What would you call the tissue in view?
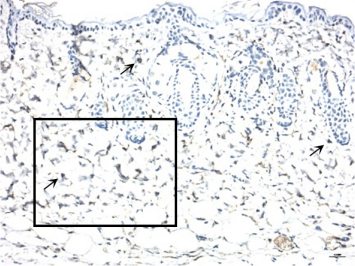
Skin.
